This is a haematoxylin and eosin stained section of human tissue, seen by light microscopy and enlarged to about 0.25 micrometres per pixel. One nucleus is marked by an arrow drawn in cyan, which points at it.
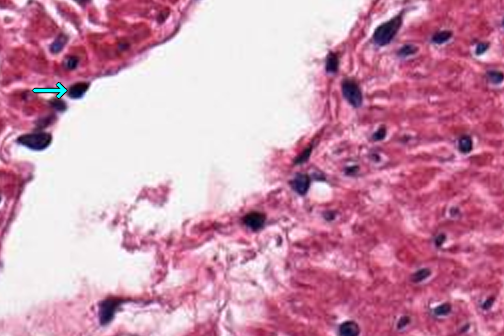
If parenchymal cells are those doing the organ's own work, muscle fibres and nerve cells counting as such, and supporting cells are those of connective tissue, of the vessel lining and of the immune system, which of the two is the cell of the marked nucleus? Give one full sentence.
The marked nucleus is held by a supporting cell.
